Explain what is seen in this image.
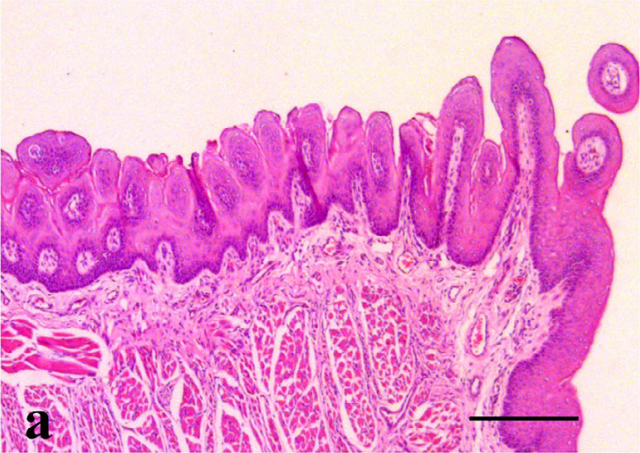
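The section shows the tongue with a keratinized stratified squamous epithelium covering the mucosal surface. The epithelium rises into a row of papillae, some short and rounded and others tall and pointed, with pale pink superficial layers and a darker purple basal zone. Connective tissue cores extend up into the papillae and appear as rounded pale islands in cross-section. Beneath the epithelium lies a loose, pale pink lamina propria containing small blood vessels. Deeper still, bundles of pink skeletal muscle fibres are cut in different planes, separated by thin connective tissue.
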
